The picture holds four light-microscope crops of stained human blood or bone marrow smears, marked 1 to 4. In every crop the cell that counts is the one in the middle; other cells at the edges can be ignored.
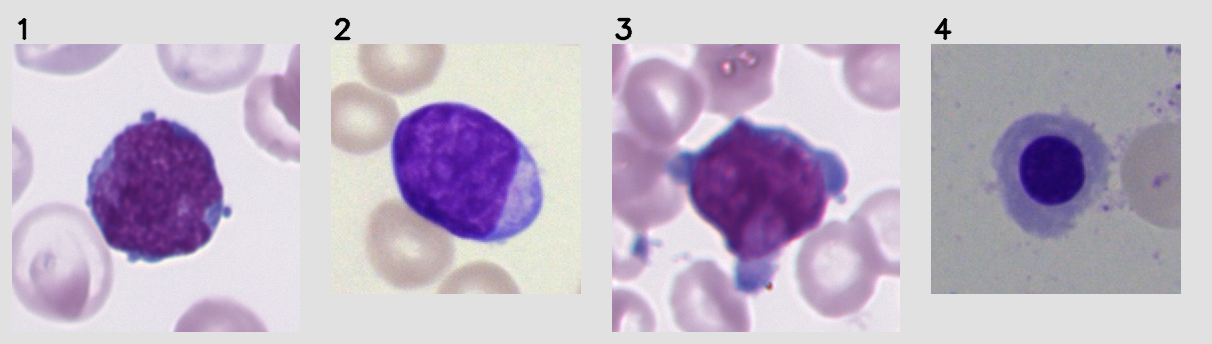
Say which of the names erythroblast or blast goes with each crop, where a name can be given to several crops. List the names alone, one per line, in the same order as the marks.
blast
blast
blast
erythroblast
